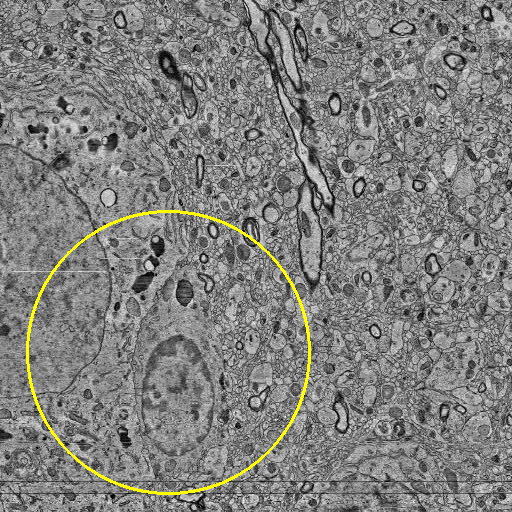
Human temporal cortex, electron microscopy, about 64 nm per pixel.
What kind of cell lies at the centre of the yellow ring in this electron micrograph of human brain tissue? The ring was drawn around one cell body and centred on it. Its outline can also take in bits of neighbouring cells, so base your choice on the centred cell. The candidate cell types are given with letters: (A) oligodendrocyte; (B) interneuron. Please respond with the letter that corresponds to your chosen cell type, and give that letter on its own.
A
